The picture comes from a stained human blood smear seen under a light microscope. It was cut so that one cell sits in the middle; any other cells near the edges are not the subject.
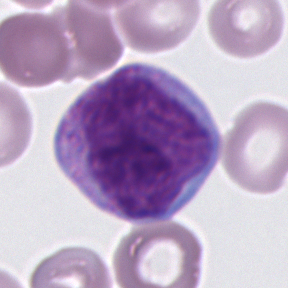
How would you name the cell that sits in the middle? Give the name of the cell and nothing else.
atypical promyelocyte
